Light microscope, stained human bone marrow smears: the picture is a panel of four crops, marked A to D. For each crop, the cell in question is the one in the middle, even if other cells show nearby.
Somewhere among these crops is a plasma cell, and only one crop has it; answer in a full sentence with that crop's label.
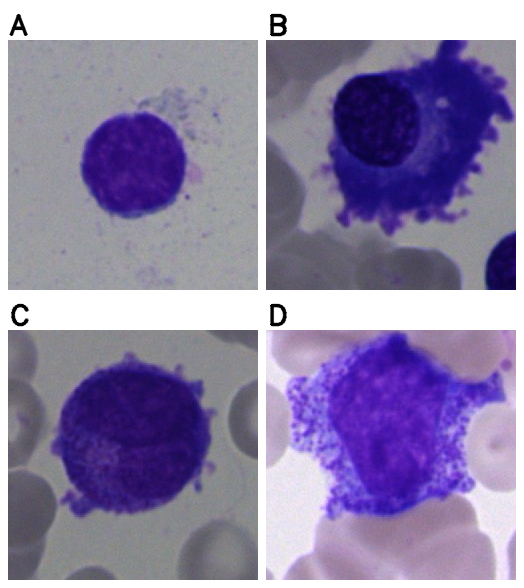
The crop with a plasma cell in it is crop B.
